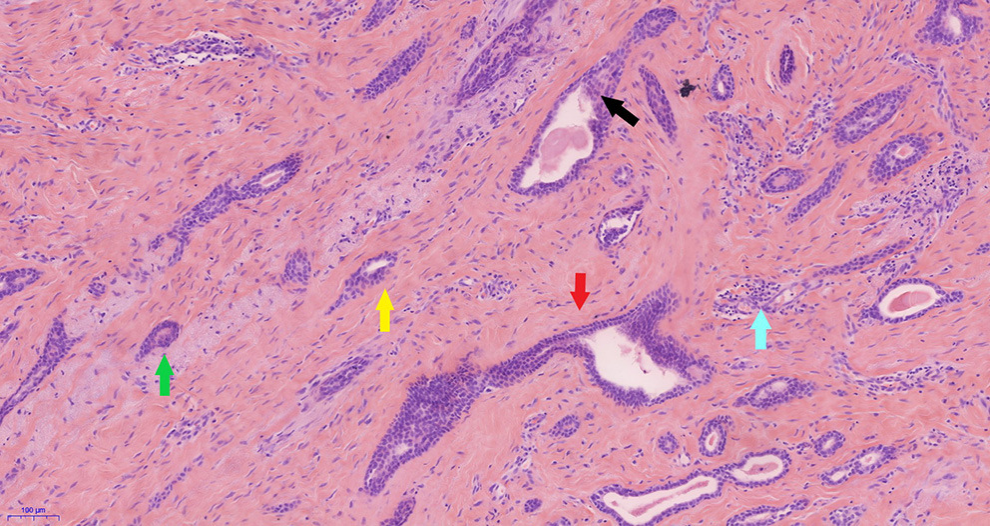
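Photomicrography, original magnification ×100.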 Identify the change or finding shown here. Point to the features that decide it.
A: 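Small glands and epithelial strands lie haphazardly in dense pink stroma. The glands are oriented in many directions and vary in shape and size.
Hence: disordered infiltrative pattern.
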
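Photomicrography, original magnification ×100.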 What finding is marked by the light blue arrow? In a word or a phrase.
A: Lymphocyte proliferation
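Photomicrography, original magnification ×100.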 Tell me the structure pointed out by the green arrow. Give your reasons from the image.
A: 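The gland is lined by a thin layer of dark epithelial cells around a narrow lumen. So: comma shaped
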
